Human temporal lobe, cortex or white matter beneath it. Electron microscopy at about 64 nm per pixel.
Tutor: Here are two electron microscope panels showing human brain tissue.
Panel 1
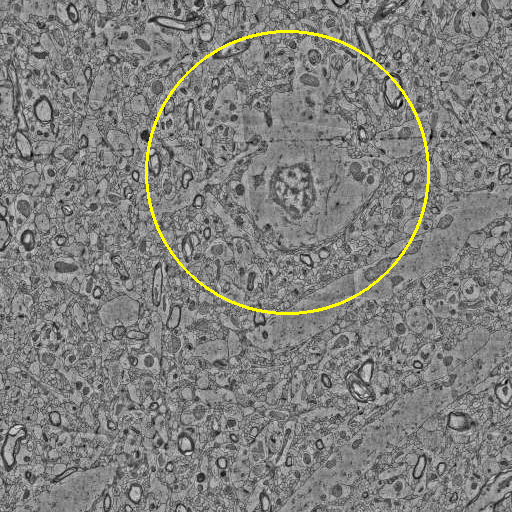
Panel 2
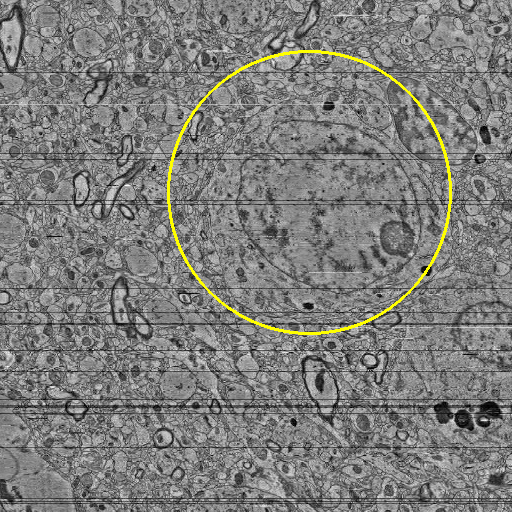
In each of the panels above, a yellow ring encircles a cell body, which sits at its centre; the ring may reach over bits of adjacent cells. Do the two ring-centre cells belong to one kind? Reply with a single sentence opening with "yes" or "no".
No, the two cells sitting at the ring centres in the panels belong to two kinds.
